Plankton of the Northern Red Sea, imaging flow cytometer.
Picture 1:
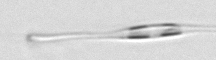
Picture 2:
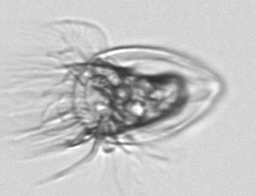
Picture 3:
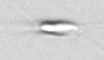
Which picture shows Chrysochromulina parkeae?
Picture 3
